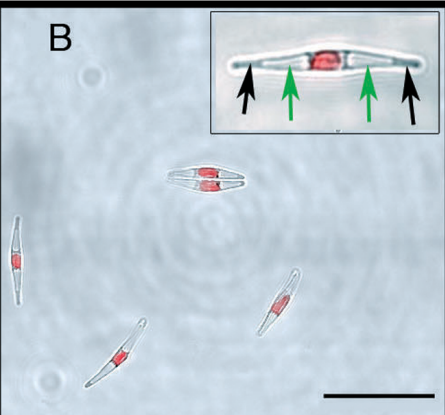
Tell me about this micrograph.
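Spindle-shaped single diatom cells with long tapering arms, each carrying a compact red-coloured body at its centre. Either side of the central body the arms hold clear, empty-looking vacuole-like structures bounded by thin lines. Toward the tips the arms are narrower and greyer, where cytoplasm lies. Cells lie scattered and apart, one seen as a pair side by side.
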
